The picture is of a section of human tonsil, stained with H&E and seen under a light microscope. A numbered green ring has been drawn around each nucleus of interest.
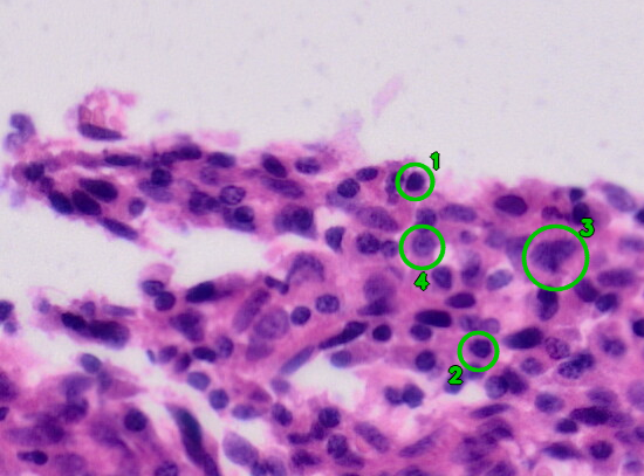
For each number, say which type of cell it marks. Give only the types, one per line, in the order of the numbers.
plasma cell
plasma cell
squamous epithelial cell
plasma cell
